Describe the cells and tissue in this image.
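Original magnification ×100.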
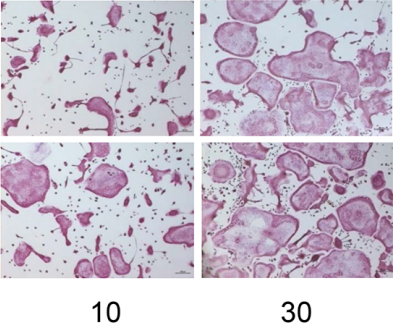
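The culture contains large, flattened, multinucleated osteoclasts stained pink-red, with irregular, sometimes ruffled outlines and a darker rim at their margins. Each giant cell holds many small nuclei, and they lie among numerous small, scattered mononuclear cells, some of which are also stained.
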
